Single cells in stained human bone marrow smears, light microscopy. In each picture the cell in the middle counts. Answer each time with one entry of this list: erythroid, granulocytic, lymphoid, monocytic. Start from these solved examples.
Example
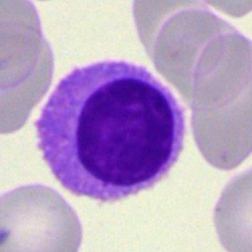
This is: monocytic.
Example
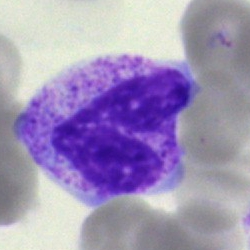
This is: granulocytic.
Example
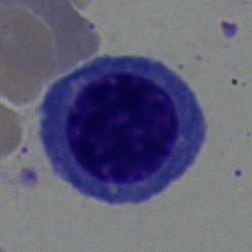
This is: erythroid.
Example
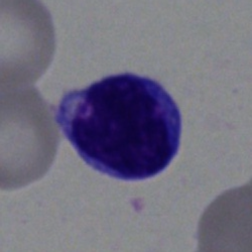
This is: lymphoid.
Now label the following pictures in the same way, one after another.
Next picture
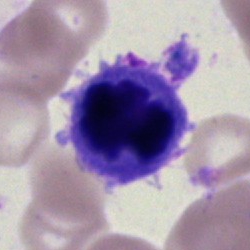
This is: erythroid.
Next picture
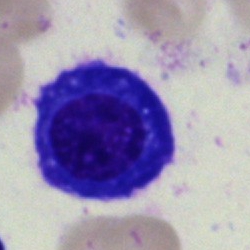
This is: lymphoid.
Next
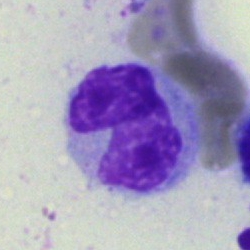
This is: monocytic.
